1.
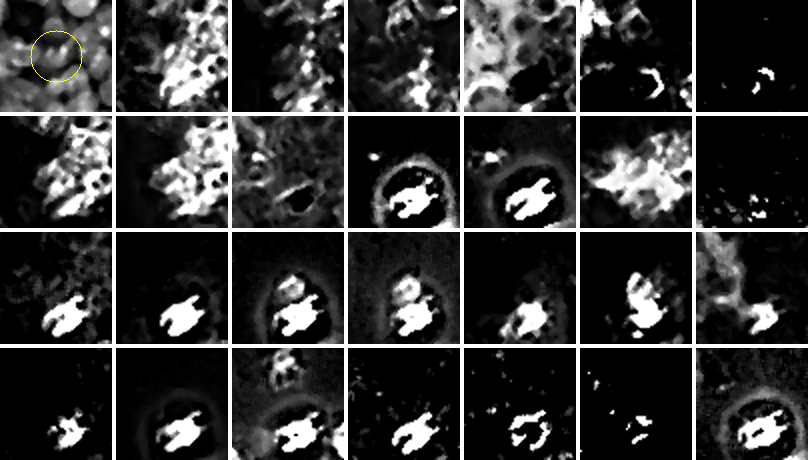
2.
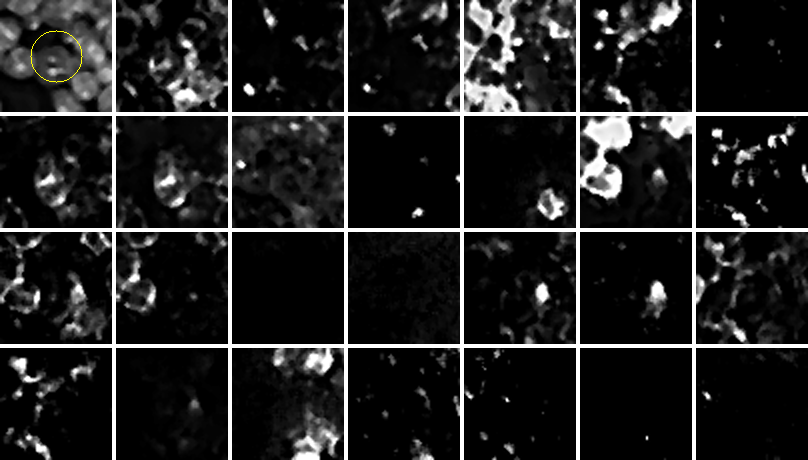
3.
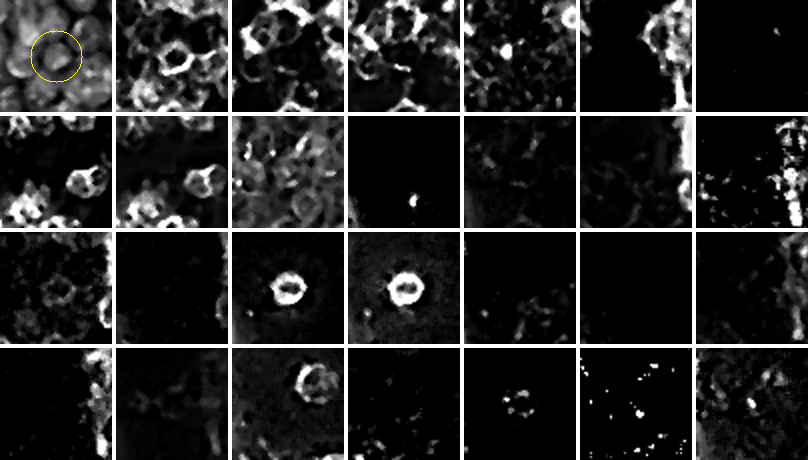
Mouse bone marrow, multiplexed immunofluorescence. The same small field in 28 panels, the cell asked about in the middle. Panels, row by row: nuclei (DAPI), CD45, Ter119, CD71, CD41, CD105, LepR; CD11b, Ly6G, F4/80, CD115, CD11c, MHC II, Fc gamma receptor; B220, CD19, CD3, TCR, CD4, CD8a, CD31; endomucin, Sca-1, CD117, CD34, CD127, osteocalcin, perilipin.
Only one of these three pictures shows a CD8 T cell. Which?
Picture 1.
